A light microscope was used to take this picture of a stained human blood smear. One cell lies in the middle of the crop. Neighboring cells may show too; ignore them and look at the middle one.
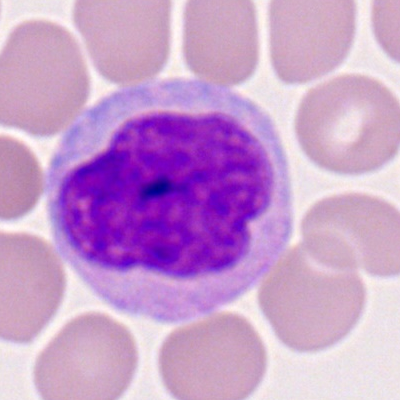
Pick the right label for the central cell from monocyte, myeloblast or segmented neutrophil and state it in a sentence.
The crop centres on a single cell, and that cell is a monocyte.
